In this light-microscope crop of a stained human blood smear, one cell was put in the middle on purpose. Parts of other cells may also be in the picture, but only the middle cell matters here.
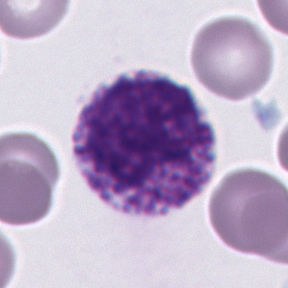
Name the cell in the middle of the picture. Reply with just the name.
basophil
